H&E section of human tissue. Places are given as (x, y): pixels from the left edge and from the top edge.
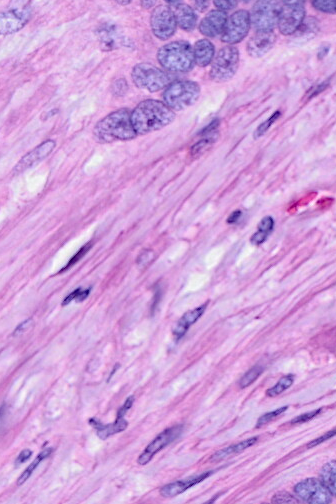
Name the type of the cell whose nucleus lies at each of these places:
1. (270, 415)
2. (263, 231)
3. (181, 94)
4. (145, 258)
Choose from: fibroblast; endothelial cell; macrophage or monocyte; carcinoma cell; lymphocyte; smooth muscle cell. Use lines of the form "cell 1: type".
cell 1: fibroblast
cell 2: macrophage or monocyte
cell 3: carcinoma cell
cell 4: fibroblast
